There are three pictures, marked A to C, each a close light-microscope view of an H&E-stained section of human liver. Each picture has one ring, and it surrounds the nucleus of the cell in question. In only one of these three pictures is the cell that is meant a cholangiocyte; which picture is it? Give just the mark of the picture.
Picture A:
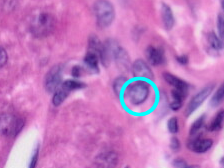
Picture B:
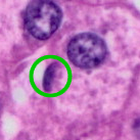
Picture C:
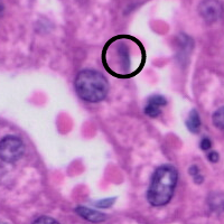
A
